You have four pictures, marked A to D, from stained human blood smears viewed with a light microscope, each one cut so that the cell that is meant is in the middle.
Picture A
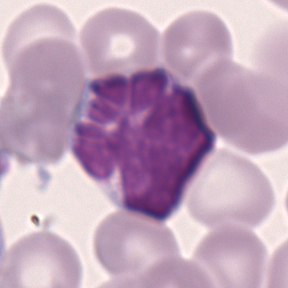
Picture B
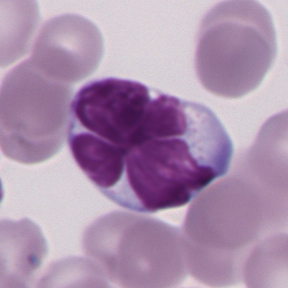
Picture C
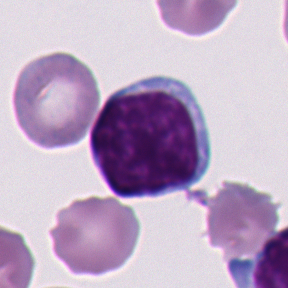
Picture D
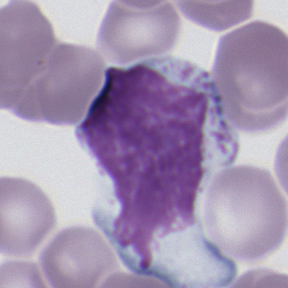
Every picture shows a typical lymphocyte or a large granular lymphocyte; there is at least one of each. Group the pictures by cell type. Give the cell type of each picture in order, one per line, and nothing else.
large granular lymphocyte
large granular lymphocyte
typical lymphocyte
large granular lymphocyte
